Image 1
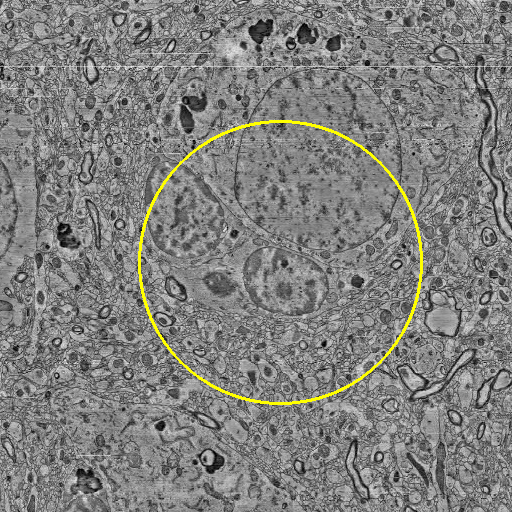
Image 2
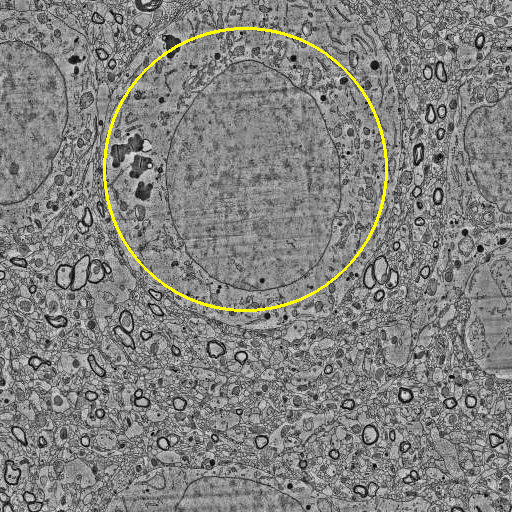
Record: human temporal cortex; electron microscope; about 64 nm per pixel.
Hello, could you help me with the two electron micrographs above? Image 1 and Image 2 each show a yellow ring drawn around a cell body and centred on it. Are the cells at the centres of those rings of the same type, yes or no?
no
